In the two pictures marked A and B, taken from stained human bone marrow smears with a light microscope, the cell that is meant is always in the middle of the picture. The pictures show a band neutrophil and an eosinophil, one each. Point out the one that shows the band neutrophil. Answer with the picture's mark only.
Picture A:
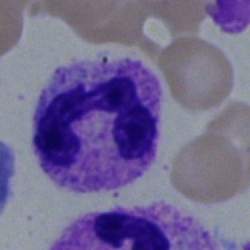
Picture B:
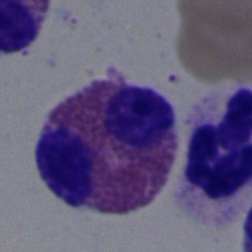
A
